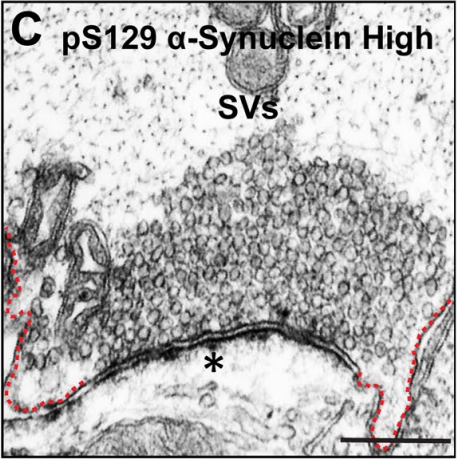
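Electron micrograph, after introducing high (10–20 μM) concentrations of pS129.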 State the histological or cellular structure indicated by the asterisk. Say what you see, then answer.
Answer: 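The asterisk sits under a curved, dark, thickened membrane stretch. Many round vesicles crowd the side opposite the asterisk. The answer: postsynaptic density.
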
